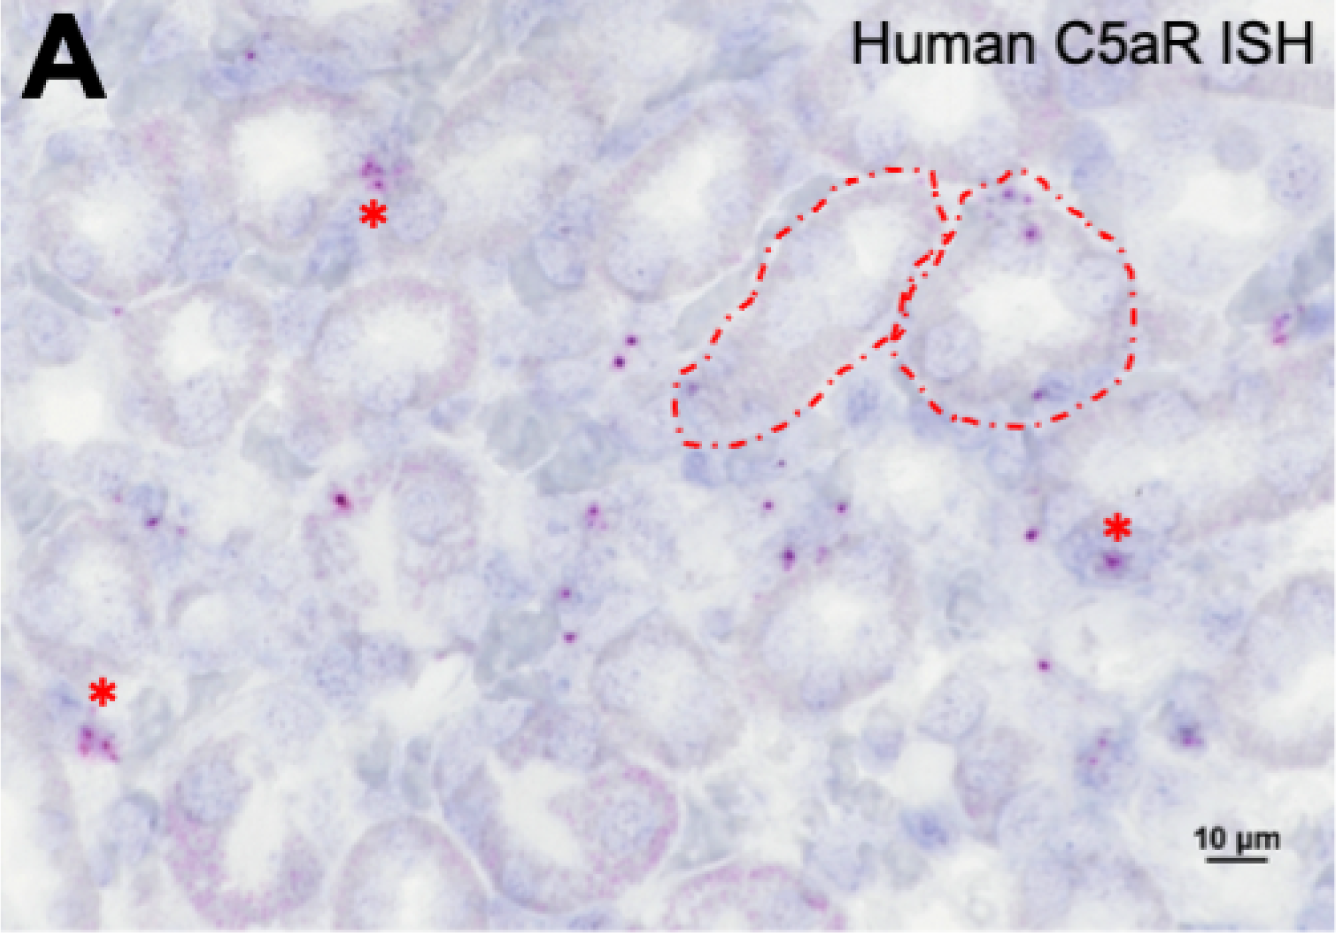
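This is kidney tissue in which tightly packed tubules are cut across, each a ring of epithelial cells around a pale central lumen. Between the tubules lie thin spaces holding small interstitial cells with compact nuclei. Scattered small purple dots are seen both within tubular walls and over some of these interstitial cells, where a few dots cluster together.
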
